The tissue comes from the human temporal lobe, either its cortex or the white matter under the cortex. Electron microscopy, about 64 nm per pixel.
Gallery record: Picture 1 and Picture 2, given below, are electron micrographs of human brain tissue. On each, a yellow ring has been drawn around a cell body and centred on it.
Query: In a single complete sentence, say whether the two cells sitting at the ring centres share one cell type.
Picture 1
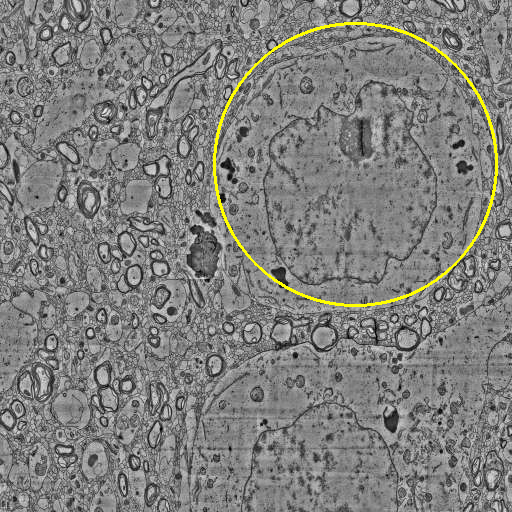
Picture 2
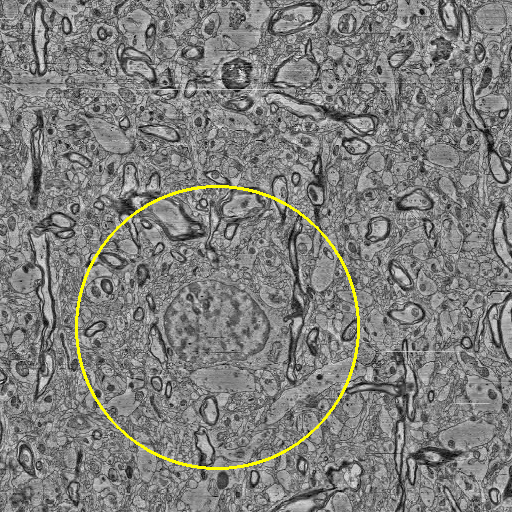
No, in the two pictures the cells at the rings' centres are of two separate types.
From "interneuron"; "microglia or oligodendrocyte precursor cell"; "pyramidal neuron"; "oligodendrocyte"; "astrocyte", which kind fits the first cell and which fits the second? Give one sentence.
The cell marked in the first picture is a pyramidal neuron, and the one marked in the second is an oligodendrocyte.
